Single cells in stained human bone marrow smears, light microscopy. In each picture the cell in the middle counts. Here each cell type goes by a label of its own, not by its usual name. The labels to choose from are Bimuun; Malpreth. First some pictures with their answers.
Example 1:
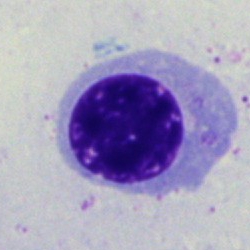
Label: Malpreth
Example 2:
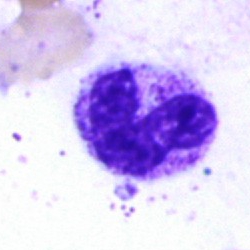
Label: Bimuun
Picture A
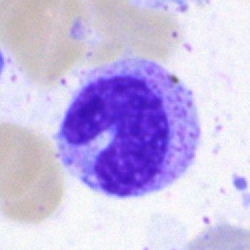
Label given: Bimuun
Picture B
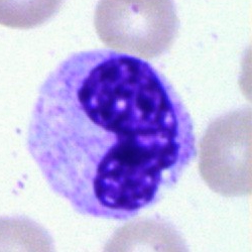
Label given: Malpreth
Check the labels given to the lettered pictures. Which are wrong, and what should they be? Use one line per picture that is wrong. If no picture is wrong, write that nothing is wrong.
B should be Bimuun, not Malpreth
